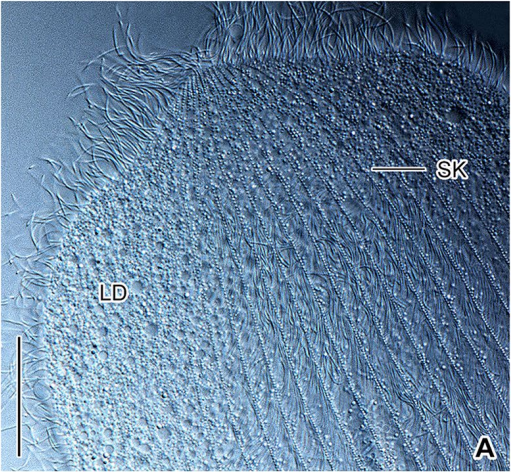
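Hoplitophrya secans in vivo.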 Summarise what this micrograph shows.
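Numerous beaded ciliary rows run in parallel, slightly curved lines across the cell surface, and a dense coat of long cilia fringes the outline. The cytoplasm is packed with small refractile lipid droplets.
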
